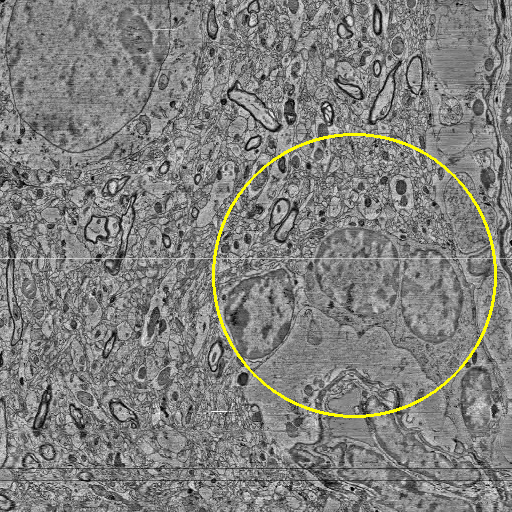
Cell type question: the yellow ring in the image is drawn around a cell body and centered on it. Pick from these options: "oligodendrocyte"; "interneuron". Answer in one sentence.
The ringed cell at the center is an oligodendrocyte.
